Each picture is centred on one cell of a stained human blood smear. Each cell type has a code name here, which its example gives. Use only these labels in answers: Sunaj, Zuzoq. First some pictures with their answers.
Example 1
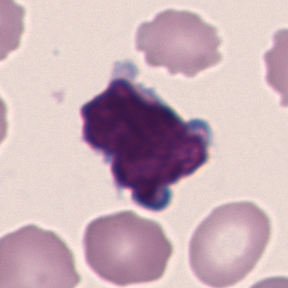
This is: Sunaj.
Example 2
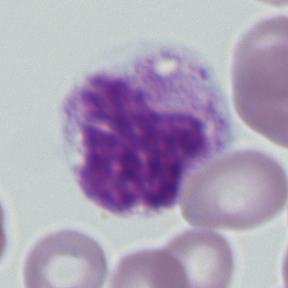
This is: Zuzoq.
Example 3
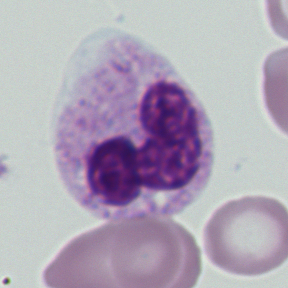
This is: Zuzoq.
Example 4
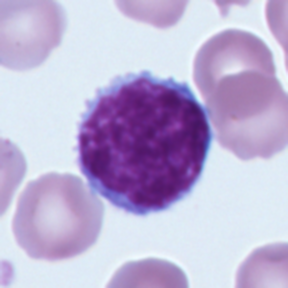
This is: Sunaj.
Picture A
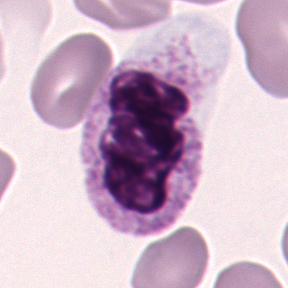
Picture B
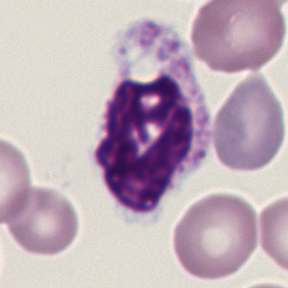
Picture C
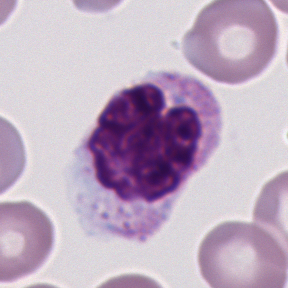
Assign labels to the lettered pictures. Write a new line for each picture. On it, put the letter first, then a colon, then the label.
A: Zuzoq.
B: Zuzoq.
C: Zuzoq.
